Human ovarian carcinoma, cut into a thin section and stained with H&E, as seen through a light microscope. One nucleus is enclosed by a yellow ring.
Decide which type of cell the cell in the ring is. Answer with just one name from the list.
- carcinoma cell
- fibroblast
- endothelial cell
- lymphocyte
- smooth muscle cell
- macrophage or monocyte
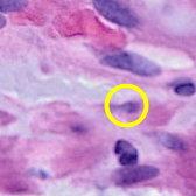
smooth muscle cell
